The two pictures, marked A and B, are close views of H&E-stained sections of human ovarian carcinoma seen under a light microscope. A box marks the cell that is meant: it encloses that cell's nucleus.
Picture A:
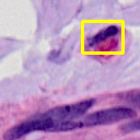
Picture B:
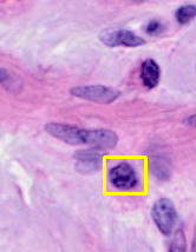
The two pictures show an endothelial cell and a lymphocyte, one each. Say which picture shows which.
A: endothelial cell
B: lymphocyte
